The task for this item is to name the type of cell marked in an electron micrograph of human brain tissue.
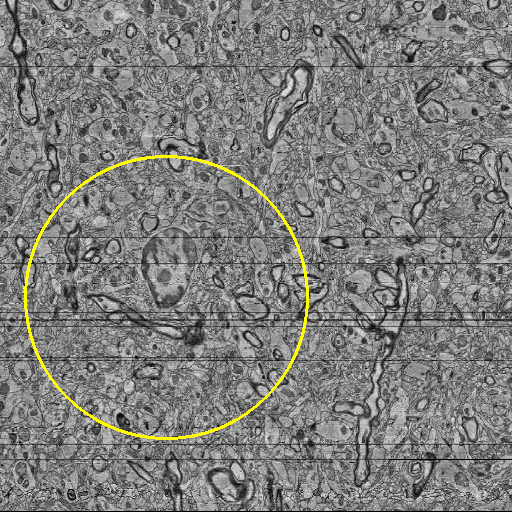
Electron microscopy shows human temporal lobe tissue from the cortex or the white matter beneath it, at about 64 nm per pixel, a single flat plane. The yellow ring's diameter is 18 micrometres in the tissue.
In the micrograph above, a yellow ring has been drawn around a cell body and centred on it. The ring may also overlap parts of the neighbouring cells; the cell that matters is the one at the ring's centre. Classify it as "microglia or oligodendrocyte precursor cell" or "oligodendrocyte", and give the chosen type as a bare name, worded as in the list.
microglia or oligodendrocyte precursor cell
